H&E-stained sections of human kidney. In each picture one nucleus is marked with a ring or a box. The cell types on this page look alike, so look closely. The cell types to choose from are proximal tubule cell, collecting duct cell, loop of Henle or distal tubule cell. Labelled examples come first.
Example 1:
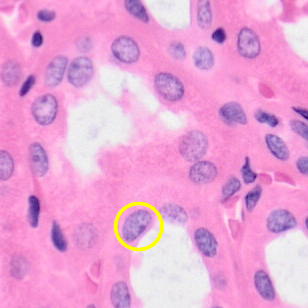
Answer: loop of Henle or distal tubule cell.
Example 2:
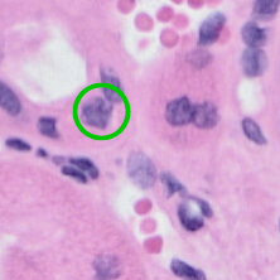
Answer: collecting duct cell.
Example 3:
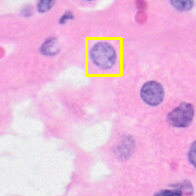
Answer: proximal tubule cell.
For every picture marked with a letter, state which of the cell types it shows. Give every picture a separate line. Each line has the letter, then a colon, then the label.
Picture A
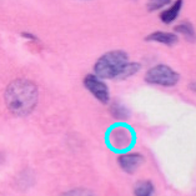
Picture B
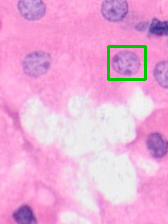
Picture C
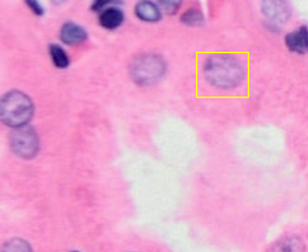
A: collecting duct cell.
B: proximal tubule cell.
C: proximal tubule cell.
